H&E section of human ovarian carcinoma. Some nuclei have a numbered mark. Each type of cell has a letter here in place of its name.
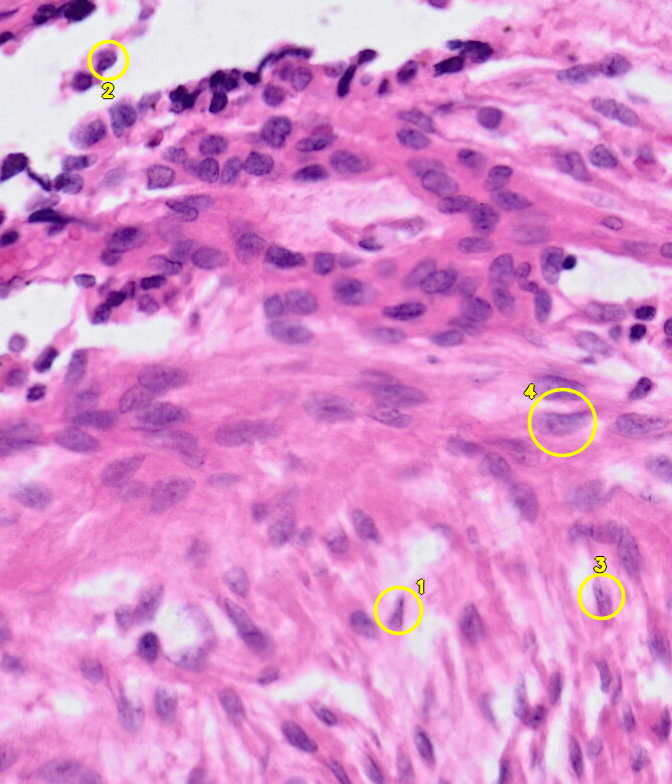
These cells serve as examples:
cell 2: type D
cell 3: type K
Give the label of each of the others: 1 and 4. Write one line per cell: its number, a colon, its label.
1: type K
4: type K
